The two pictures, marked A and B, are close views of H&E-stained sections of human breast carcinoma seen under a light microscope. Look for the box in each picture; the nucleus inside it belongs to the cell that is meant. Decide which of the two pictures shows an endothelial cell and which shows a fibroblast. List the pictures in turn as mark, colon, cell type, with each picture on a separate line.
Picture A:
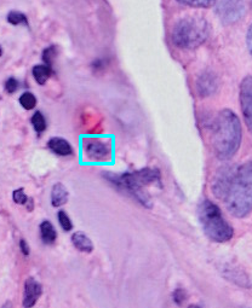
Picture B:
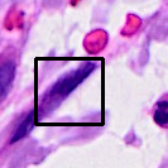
A: endothelial cell
B: fibroblast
